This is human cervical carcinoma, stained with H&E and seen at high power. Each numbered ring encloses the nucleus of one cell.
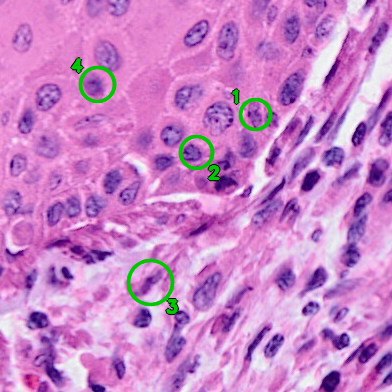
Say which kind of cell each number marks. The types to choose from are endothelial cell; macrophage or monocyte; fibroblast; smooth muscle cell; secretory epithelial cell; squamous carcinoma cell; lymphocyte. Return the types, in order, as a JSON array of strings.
["squamous carcinoma cell", "squamous carcinoma cell", "fibroblast", "squamous carcinoma cell"]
